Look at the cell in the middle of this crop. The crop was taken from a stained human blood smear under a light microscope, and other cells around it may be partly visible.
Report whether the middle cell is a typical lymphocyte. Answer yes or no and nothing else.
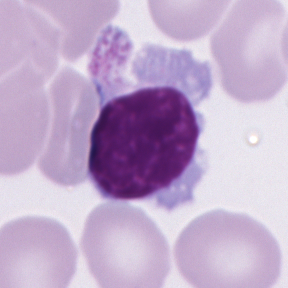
no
